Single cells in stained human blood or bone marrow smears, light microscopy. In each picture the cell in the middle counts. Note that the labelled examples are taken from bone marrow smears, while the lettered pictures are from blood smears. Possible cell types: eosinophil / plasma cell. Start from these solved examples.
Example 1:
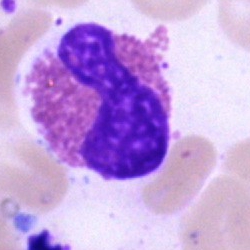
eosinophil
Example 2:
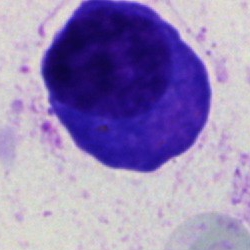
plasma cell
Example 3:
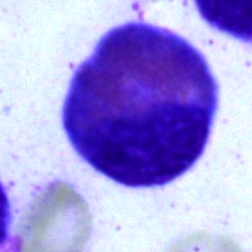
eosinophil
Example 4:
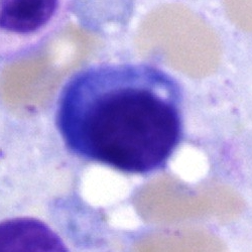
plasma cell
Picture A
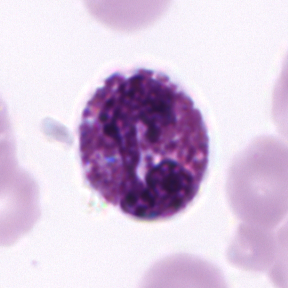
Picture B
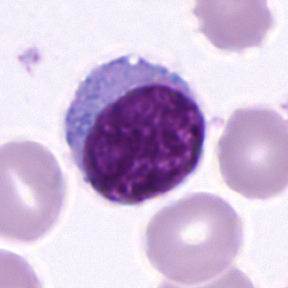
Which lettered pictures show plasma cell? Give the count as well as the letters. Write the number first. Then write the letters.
Count: 1 (B)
